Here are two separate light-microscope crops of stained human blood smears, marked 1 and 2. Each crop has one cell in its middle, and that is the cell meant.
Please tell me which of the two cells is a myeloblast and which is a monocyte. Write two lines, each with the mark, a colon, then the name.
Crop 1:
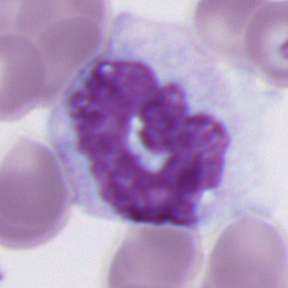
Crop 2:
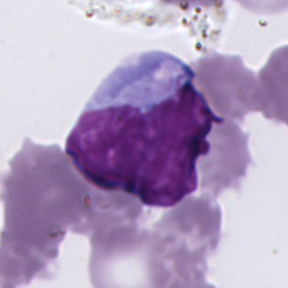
1: monocyte
2: myeloblast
